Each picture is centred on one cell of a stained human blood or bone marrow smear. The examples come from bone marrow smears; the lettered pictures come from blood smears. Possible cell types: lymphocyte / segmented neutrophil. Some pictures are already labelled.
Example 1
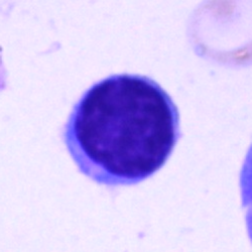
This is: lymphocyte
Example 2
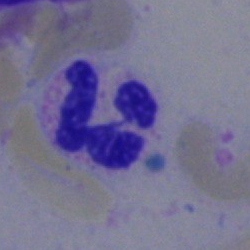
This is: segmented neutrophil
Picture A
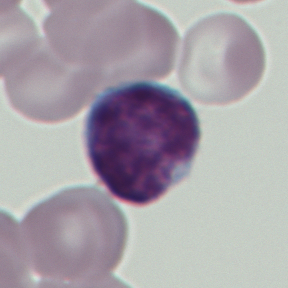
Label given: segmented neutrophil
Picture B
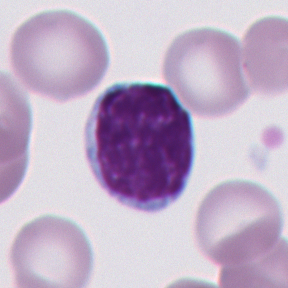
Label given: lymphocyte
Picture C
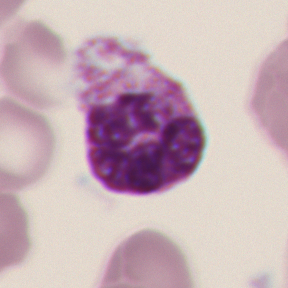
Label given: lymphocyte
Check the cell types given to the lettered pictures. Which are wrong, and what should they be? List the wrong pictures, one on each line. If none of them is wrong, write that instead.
A: not segmented neutrophil but lymphocyte
C: not lymphocyte but segmented neutrophil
